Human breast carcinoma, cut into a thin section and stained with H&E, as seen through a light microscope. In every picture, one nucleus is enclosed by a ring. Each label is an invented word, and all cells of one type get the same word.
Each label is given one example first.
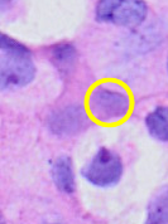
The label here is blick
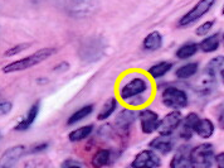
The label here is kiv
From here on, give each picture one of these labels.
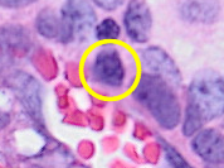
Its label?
blick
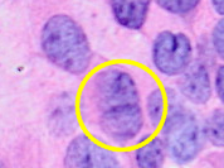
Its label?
blick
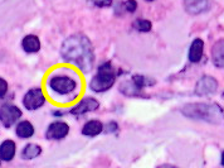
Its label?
kiv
